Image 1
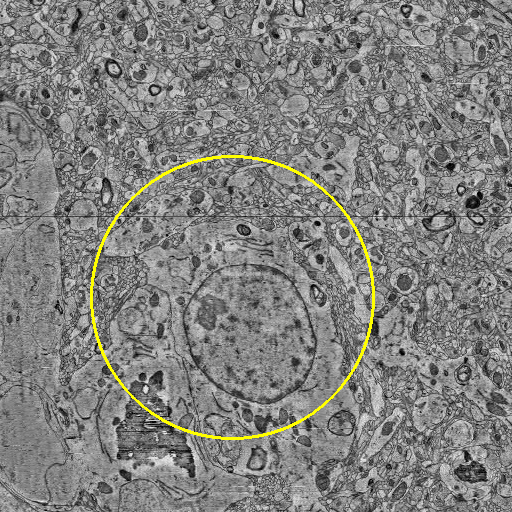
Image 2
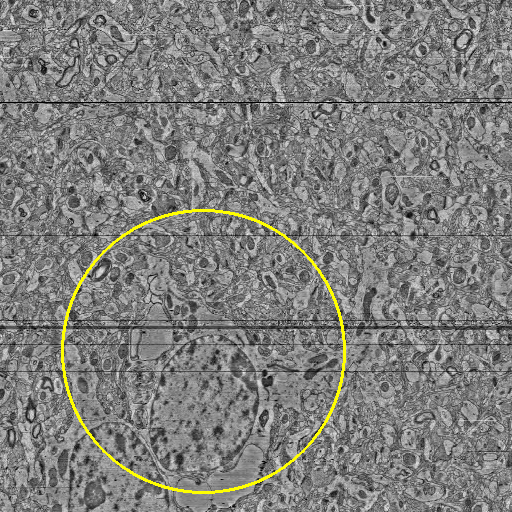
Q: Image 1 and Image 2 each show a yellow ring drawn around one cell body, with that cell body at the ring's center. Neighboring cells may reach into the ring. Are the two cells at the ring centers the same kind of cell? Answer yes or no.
yes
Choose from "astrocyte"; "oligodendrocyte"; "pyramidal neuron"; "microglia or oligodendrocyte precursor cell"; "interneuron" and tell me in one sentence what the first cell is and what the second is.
Each one of the two ringed cells is an astrocyte.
